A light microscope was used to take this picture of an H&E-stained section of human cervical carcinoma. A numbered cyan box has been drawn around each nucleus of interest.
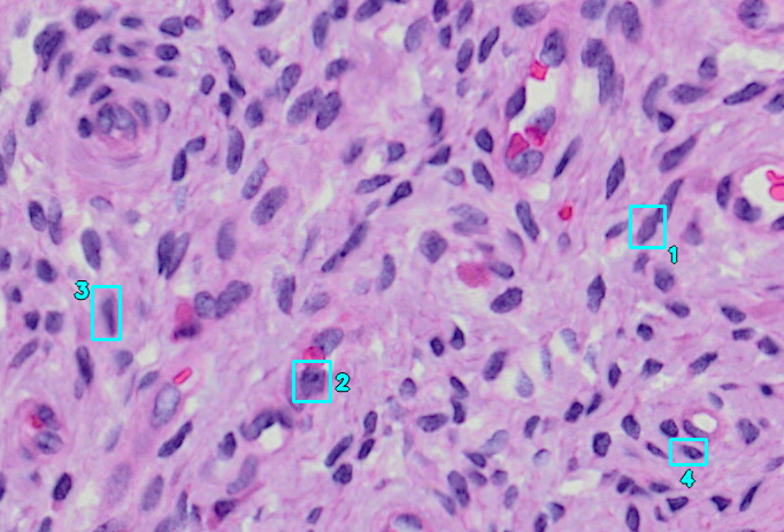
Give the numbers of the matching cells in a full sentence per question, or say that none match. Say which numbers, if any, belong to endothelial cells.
In contrast to the remaining marked cells, cell 2 is an endothelial cell.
